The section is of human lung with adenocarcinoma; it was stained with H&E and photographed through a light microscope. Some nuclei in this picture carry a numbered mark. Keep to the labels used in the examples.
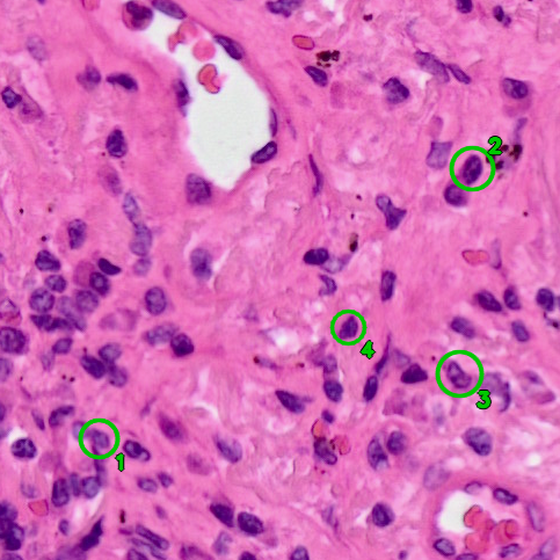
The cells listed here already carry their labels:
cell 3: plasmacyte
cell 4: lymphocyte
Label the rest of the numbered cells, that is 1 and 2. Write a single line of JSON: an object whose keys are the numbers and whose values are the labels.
{"1": "lymphocyte", "2": "plasmacyte"}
